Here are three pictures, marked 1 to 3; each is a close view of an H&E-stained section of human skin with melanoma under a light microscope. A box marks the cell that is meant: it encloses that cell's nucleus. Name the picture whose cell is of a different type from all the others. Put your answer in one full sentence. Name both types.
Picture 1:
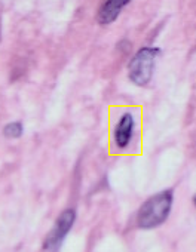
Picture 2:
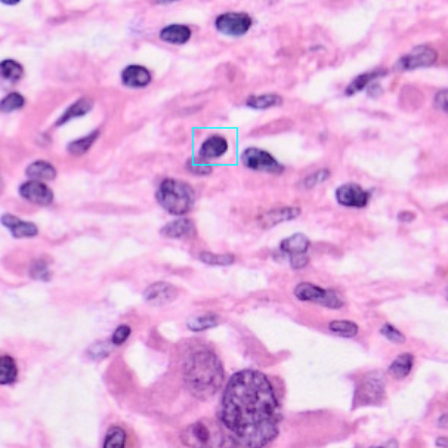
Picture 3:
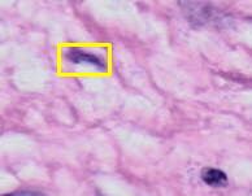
The others show lymphocytes, but picture 3 shows a “fibroblast or myofibroblast”.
